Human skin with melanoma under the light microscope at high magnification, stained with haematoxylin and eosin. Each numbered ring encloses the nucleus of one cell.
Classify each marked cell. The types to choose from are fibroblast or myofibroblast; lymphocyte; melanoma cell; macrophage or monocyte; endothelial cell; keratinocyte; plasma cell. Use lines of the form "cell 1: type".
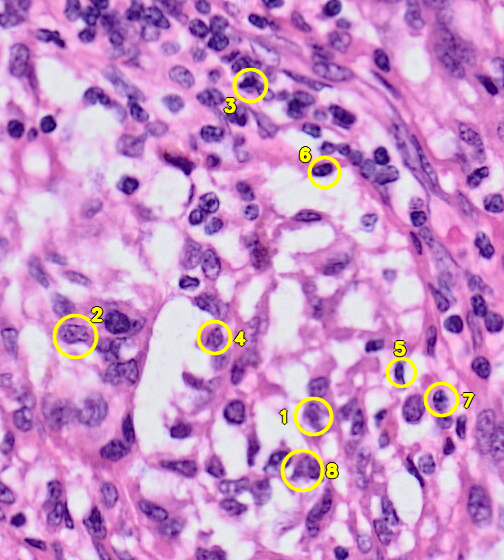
cell 1: melanoma cell
cell 2: melanoma cell
cell 3: lymphocyte
cell 4: melanoma cell
cell 5: lymphocyte
cell 6: lymphocyte
cell 7: lymphocyte
cell 8: melanoma cell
